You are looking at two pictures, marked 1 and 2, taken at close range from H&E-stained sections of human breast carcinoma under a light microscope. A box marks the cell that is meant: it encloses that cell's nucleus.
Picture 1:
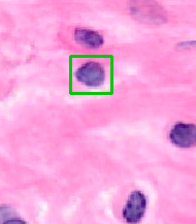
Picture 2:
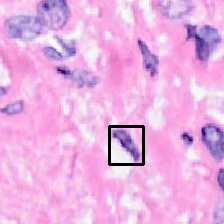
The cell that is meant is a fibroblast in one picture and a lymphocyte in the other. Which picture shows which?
1: lymphocyte
2: fibroblast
